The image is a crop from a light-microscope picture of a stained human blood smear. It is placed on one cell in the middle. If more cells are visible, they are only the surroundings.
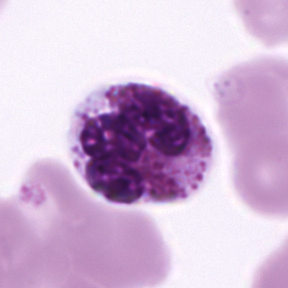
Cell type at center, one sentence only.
The cell occupying the middle of the crop is an eosinophil.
